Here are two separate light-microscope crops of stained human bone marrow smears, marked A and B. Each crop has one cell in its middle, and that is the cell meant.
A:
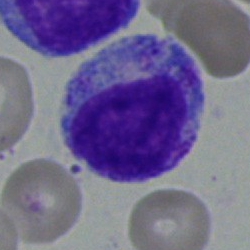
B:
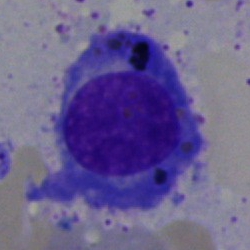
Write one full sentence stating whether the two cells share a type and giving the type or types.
No, crop A features a myelocyte, and crop B features a plasma cell.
